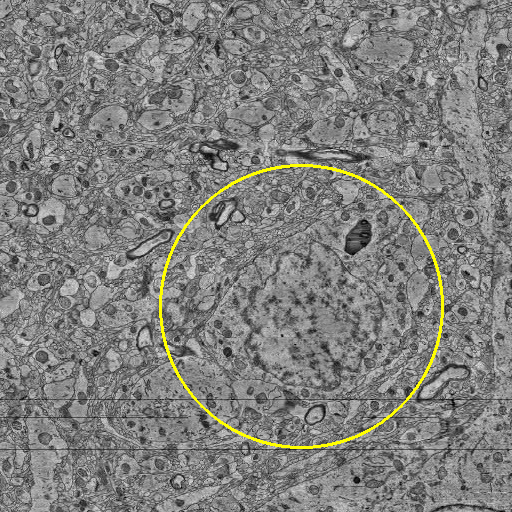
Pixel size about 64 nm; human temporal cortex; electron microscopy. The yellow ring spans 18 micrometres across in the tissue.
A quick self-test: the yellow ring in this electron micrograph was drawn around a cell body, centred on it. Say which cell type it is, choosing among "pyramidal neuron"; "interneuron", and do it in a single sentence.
The yellow-ringed cell is an interneuron.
